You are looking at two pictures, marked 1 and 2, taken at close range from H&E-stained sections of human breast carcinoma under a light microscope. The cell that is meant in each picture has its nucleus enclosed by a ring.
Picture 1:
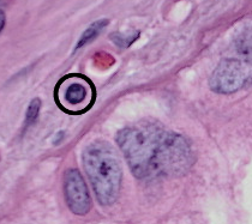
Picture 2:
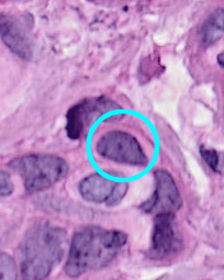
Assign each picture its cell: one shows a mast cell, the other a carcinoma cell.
1: mast cell
2: carcinoma cell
